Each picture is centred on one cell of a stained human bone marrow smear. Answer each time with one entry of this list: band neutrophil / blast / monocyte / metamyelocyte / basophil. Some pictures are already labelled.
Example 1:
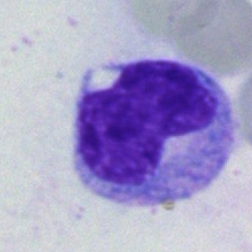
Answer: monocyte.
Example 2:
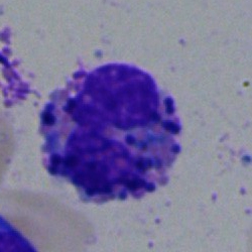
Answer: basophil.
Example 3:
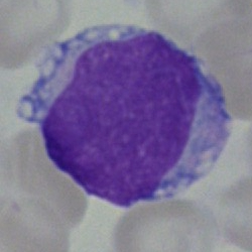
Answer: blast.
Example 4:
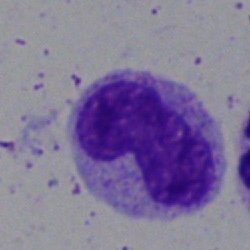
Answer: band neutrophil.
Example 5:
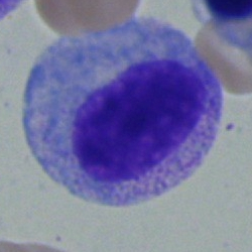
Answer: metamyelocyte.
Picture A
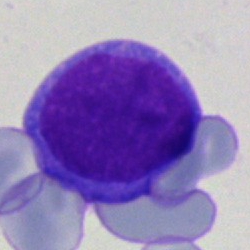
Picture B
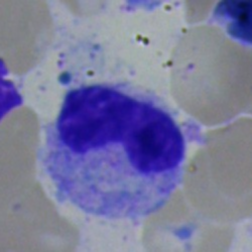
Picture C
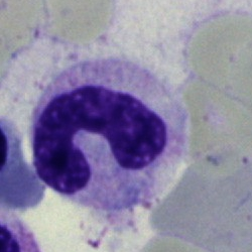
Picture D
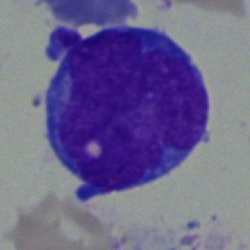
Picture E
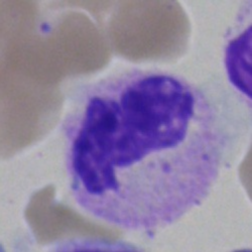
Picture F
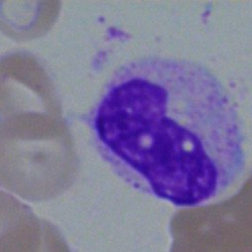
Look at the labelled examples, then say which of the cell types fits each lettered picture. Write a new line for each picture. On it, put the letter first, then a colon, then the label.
A: blast.
B: metamyelocyte.
C: band neutrophil.
D: blast.
E: basophil.
F: metamyelocyte.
